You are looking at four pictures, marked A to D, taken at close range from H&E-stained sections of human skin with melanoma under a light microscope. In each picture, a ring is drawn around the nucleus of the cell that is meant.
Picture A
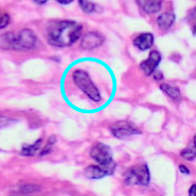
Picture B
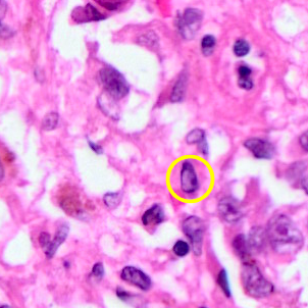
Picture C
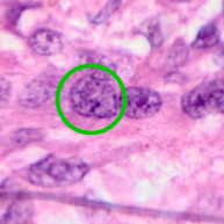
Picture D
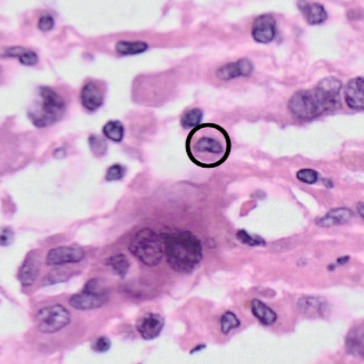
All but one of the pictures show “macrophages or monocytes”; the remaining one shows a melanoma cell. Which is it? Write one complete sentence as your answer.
The cell in picture C is the melanoma cell.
